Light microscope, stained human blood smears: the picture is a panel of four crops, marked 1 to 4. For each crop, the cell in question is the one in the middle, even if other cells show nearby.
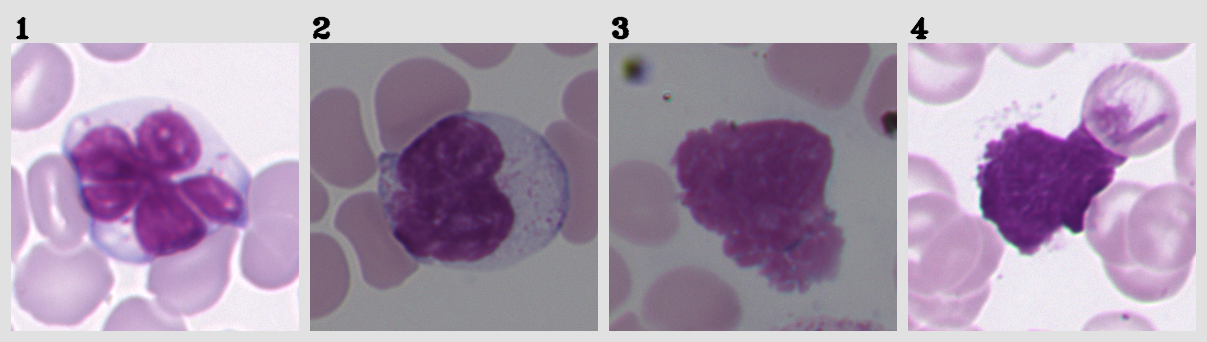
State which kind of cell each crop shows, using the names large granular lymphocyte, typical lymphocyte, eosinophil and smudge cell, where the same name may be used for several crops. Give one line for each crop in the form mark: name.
1: large granular lymphocyte
2: large granular lymphocyte
3: smudge cell
4: smudge cell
